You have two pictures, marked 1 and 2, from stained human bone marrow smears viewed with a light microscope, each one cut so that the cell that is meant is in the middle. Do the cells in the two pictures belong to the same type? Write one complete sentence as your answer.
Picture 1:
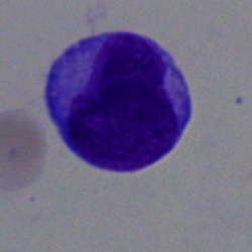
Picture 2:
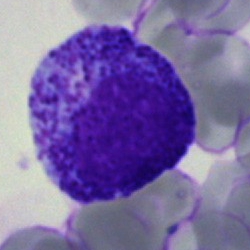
No, they differ: the cell is a blast in picture 1 and a promyelocyte in picture 2.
